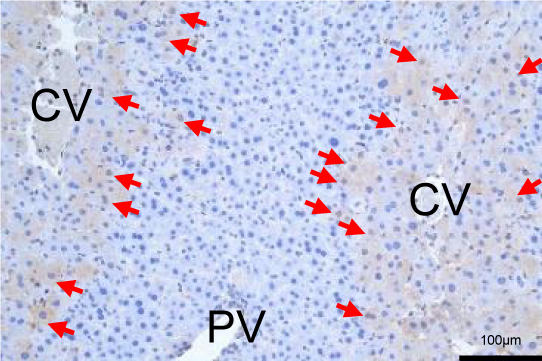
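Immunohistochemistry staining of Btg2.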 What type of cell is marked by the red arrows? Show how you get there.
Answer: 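Arrowed cells are large polygonal parenchymal cells with round nuclei. Their cytoplasm is tinged light brown.
Answer: hepatocytes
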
